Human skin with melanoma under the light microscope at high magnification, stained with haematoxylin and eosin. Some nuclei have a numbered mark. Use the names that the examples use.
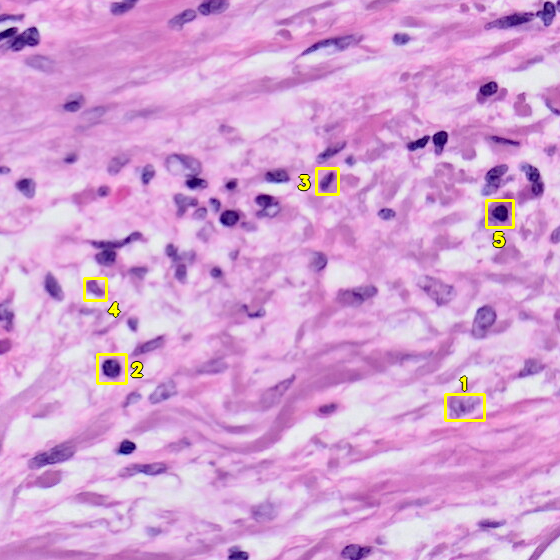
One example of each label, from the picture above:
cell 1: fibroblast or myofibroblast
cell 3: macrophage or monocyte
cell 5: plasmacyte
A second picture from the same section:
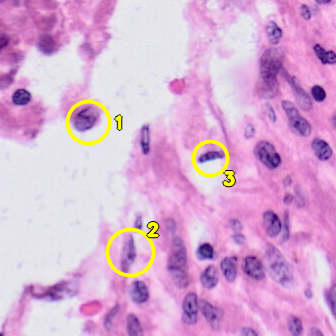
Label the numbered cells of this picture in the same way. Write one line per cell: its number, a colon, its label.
1: macrophage or monocyte
2: fibroblast or myofibroblast
3: fibroblast or myofibroblast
